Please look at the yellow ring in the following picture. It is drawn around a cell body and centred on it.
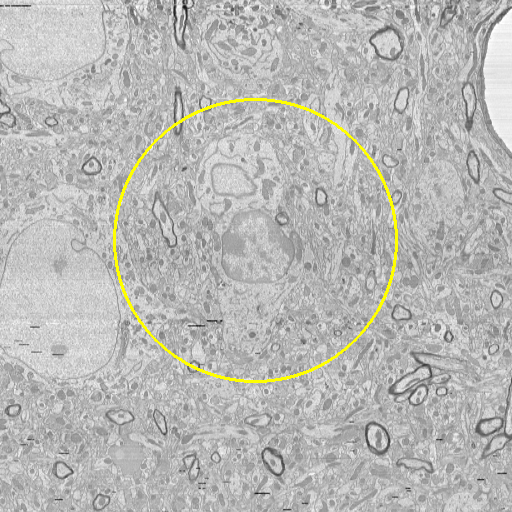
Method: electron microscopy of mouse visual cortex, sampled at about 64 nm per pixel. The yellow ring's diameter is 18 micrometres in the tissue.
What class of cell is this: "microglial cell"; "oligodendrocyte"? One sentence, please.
The ring surrounds the cell body of an oligodendrocyte.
